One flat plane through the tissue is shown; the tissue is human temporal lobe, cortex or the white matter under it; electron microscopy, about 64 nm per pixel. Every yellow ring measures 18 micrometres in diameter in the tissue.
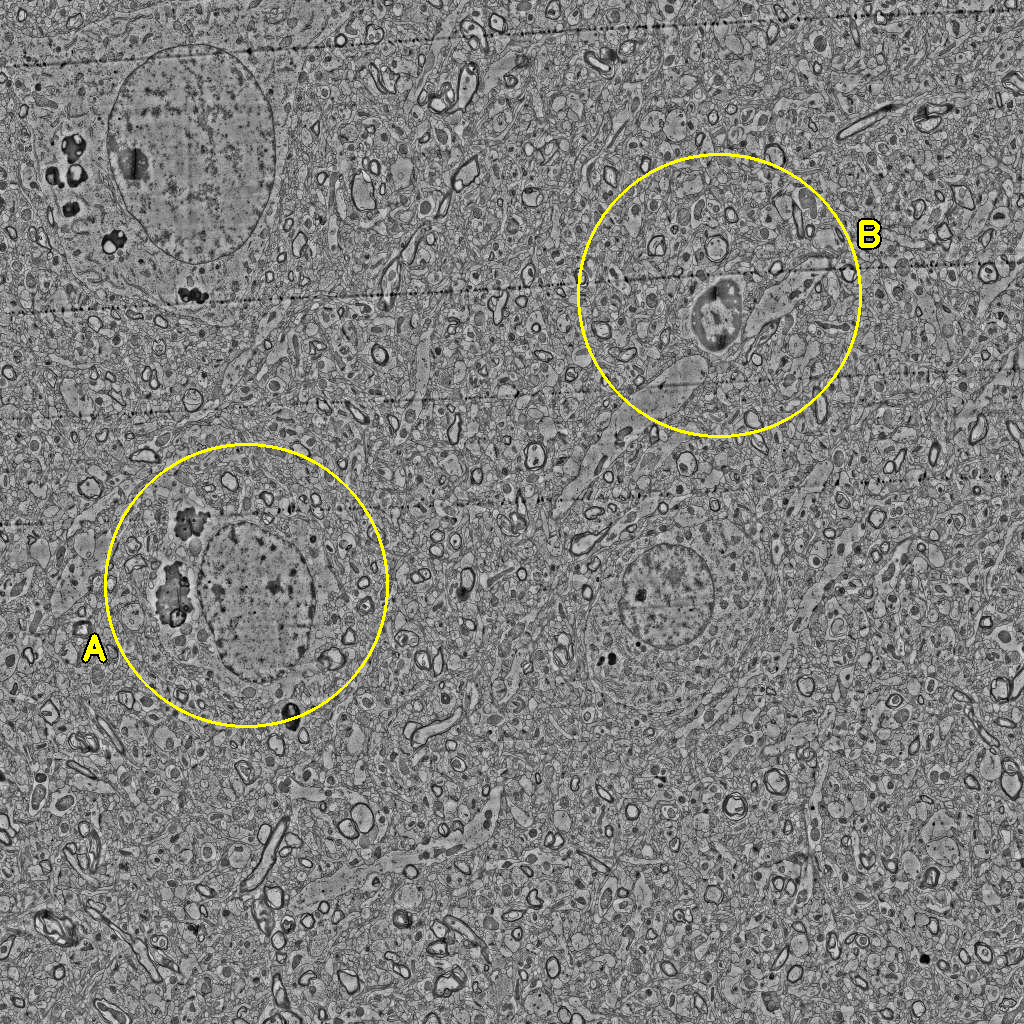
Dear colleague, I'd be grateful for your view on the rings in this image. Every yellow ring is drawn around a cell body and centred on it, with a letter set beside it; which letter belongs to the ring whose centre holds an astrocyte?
A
